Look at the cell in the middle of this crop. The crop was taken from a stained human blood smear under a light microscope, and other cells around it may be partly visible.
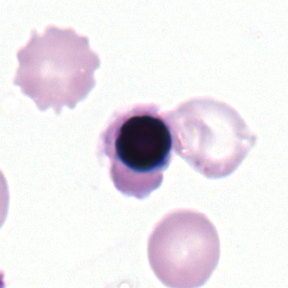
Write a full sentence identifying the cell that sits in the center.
At the middle of the frame sits a normoblast.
